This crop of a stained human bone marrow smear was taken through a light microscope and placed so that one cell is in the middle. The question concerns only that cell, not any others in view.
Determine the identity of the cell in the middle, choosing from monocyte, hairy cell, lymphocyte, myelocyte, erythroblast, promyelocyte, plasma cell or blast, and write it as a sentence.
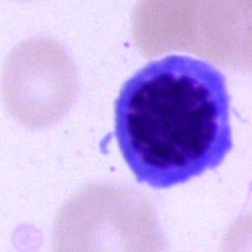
The centrally located cell in the crop is an erythroblast.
